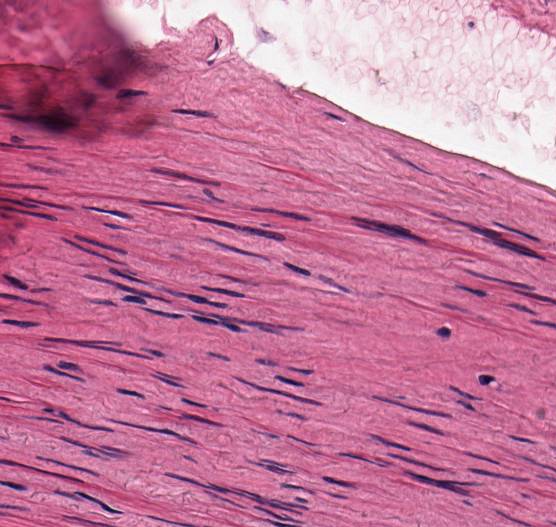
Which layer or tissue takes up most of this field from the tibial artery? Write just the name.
tunica media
